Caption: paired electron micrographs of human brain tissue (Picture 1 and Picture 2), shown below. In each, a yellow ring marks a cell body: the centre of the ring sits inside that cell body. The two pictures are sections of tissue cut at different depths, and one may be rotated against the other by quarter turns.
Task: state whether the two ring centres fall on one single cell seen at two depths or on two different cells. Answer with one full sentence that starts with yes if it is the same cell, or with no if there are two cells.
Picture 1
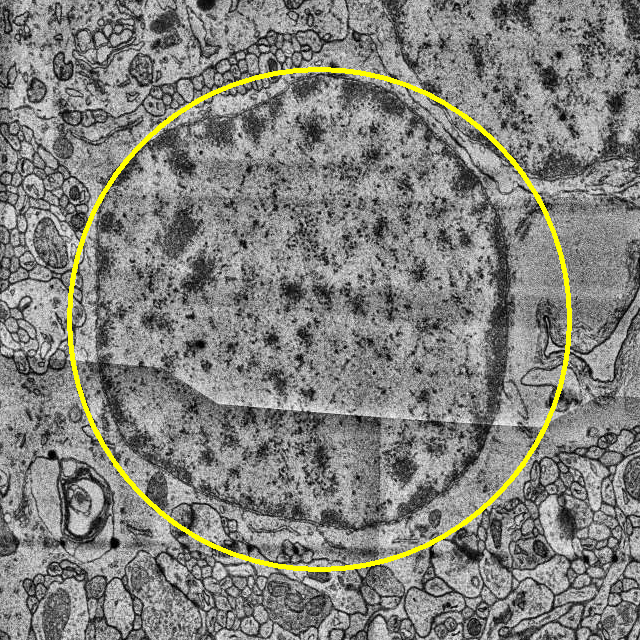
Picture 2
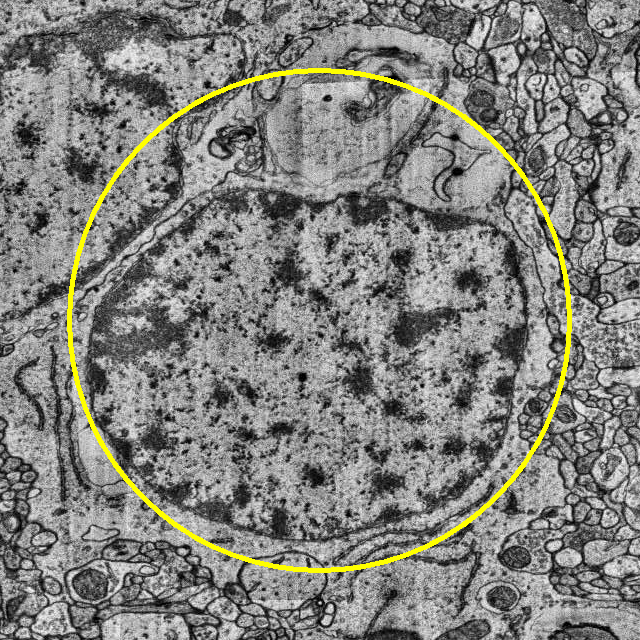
Yes, one and the same cell lies under both rings.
